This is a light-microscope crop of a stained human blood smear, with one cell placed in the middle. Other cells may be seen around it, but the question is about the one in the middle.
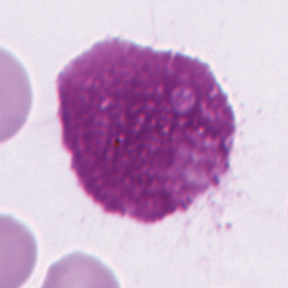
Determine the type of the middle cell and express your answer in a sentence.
The cell of interest, in the center, is a smudge cell.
